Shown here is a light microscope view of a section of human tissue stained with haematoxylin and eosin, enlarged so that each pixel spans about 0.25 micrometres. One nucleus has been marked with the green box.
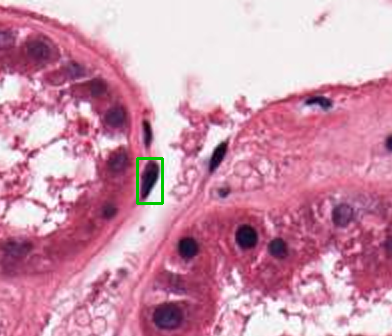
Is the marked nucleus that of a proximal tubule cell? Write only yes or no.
no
